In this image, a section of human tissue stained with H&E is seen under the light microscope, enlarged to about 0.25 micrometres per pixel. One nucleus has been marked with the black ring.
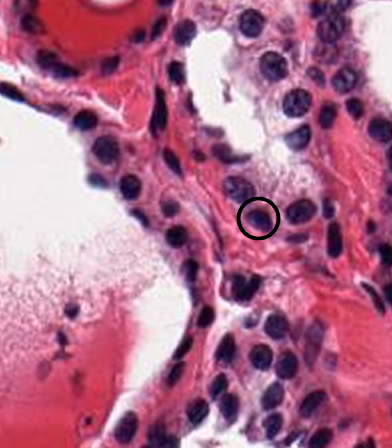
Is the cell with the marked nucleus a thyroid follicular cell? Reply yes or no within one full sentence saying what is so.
Yes, here the marked nucleus belongs to a thyroid follicular cell.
